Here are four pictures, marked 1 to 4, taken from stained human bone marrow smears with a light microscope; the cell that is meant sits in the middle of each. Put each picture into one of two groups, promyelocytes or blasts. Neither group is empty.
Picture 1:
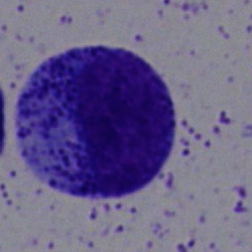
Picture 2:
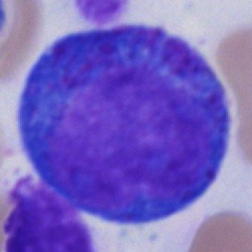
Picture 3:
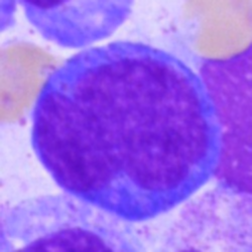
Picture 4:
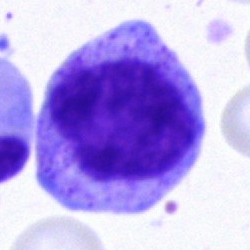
1: promyelocyte
2: promyelocyte
3: blast
4: promyelocyte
